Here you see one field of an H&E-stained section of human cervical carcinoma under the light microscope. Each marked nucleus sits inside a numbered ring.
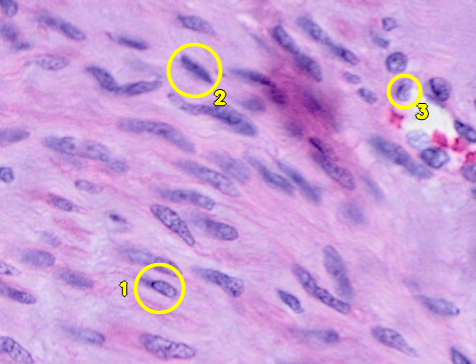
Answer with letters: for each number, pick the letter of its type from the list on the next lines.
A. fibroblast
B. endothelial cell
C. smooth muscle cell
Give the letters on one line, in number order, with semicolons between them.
C; A; B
